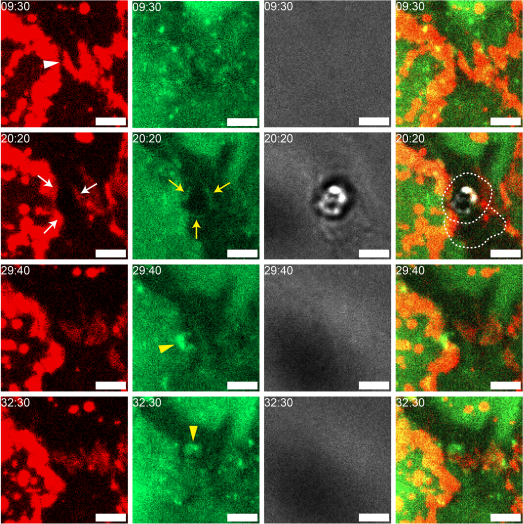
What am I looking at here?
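Here an endothelial monolayer is shown over time, with the cell junctions as broad, patchy red bands made of blotchy plaques and the green signal spread more diffusely through the cells. In one frame a small rounded white blood cell with a granular, lobed interior sits on the sheet, seen in brightfield. Beneath it the red band is pushed aside, leaving a dark, roughly round space, and the green shows a matching dark hole. In the later frames the cell is no longer visible, and small bright green and red patches appear where the opening had been, as the junction closes again.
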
